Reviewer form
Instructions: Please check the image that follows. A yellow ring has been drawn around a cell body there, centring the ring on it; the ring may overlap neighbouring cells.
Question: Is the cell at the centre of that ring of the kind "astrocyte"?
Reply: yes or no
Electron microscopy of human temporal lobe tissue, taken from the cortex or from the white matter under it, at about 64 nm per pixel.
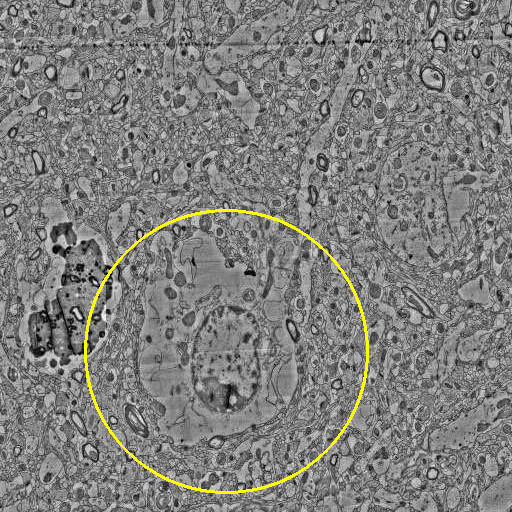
yes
